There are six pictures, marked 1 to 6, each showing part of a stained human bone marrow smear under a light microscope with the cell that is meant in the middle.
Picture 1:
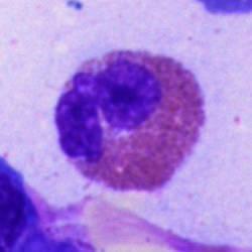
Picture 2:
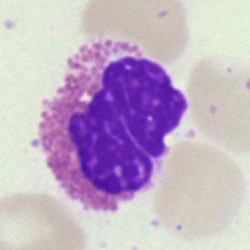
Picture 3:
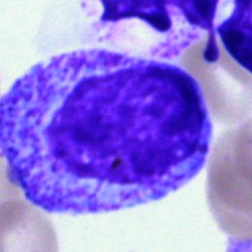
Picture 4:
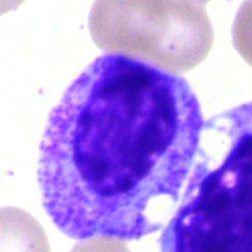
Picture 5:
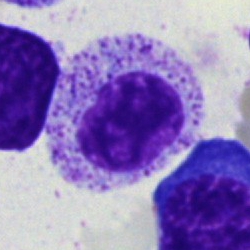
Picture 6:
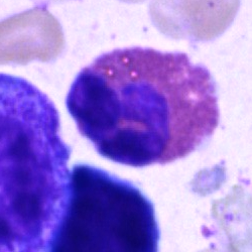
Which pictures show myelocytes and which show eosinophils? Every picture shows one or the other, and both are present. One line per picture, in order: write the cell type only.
eosinophil
eosinophil
myelocyte
myelocyte
myelocyte
eosinophil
